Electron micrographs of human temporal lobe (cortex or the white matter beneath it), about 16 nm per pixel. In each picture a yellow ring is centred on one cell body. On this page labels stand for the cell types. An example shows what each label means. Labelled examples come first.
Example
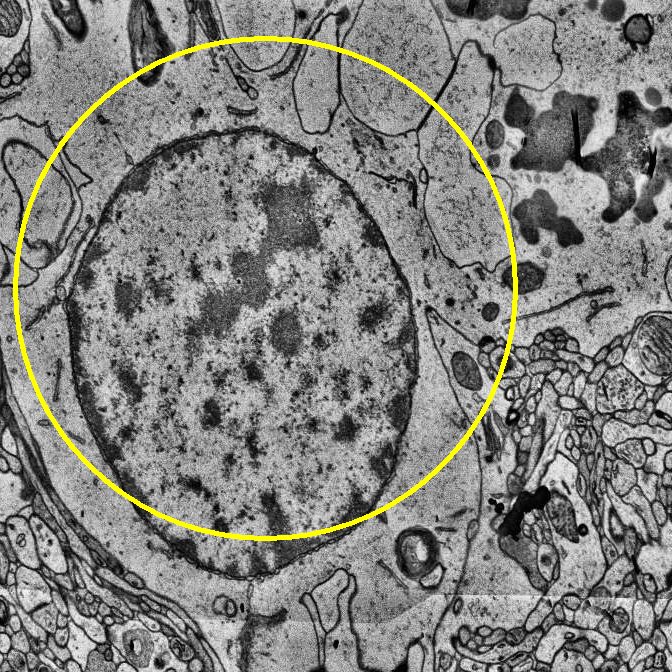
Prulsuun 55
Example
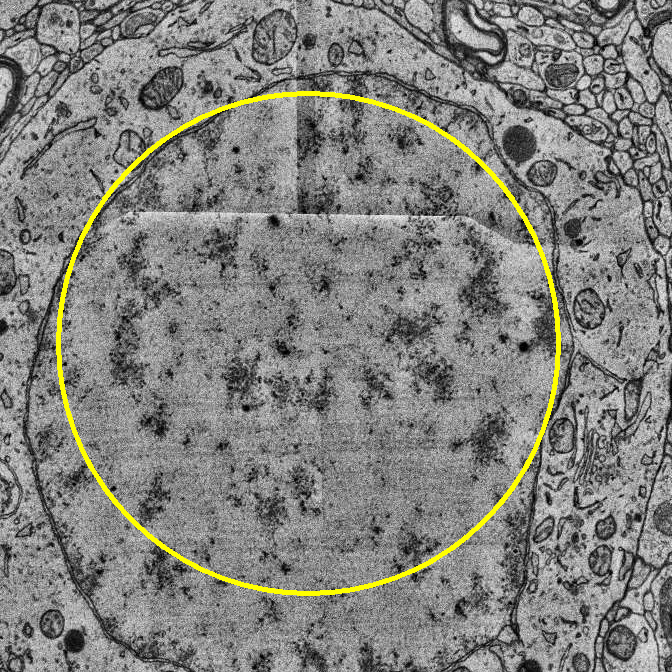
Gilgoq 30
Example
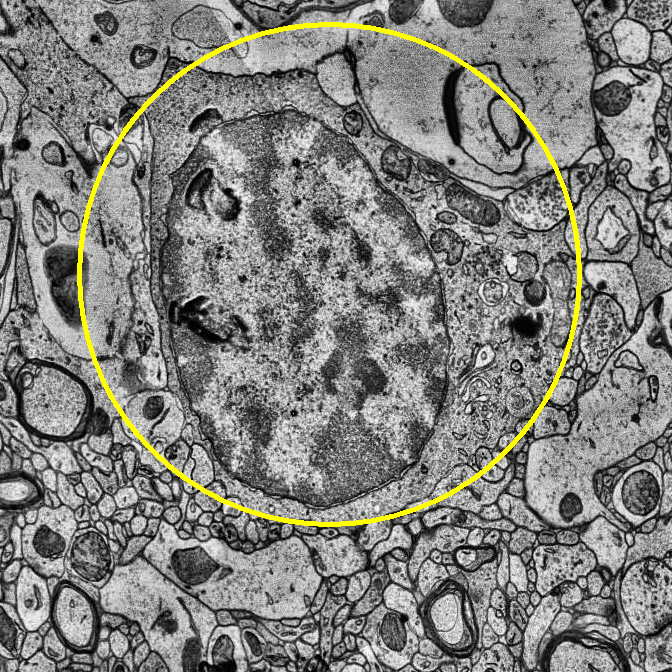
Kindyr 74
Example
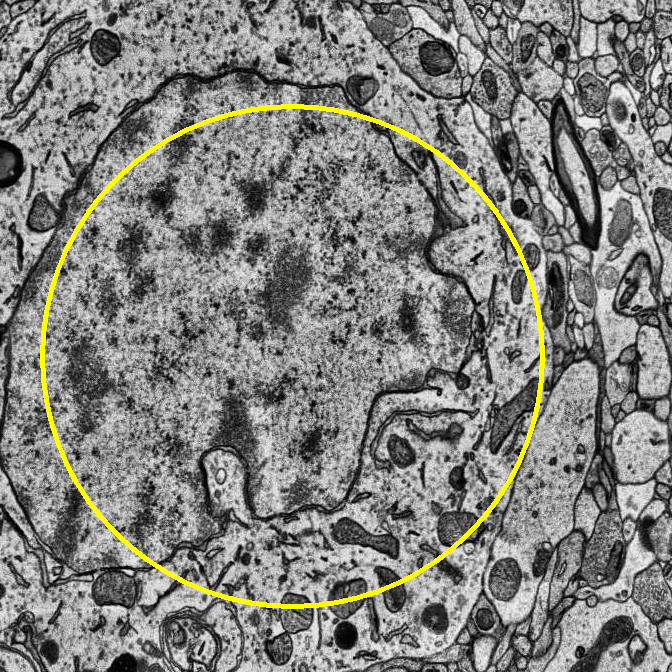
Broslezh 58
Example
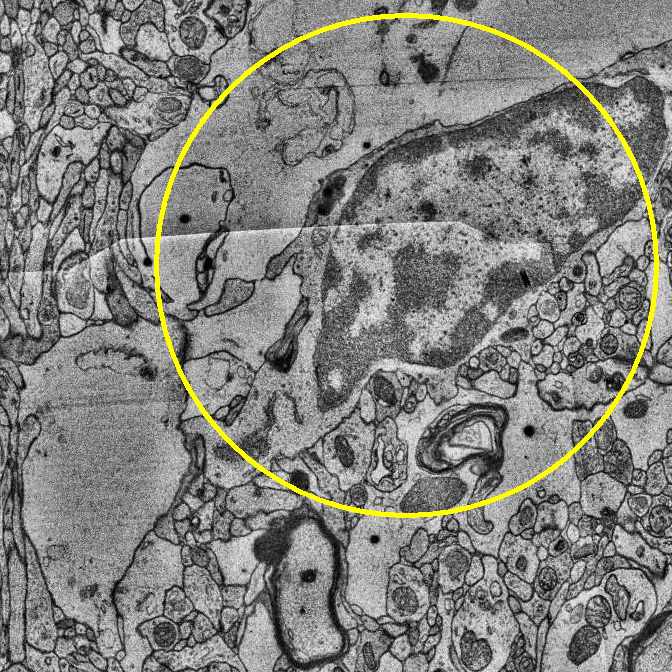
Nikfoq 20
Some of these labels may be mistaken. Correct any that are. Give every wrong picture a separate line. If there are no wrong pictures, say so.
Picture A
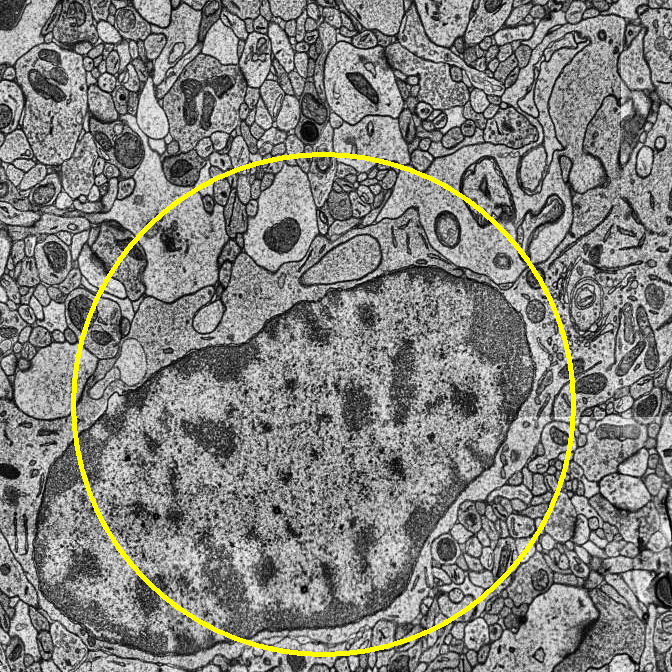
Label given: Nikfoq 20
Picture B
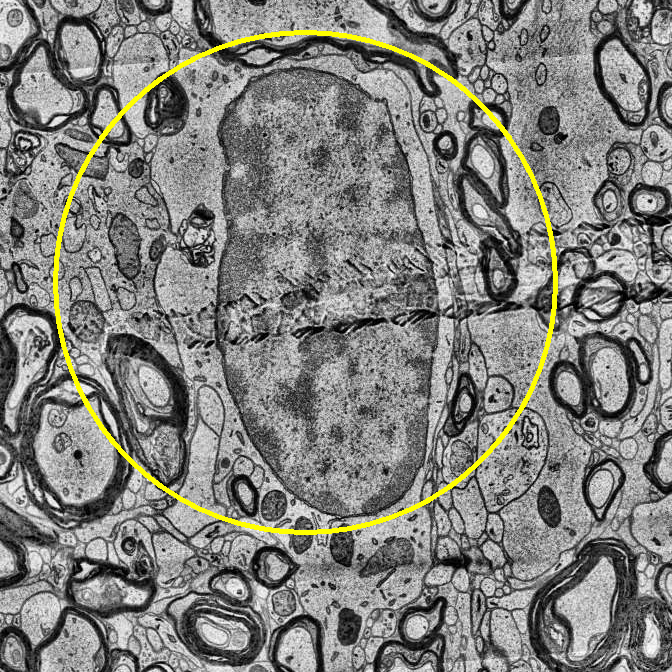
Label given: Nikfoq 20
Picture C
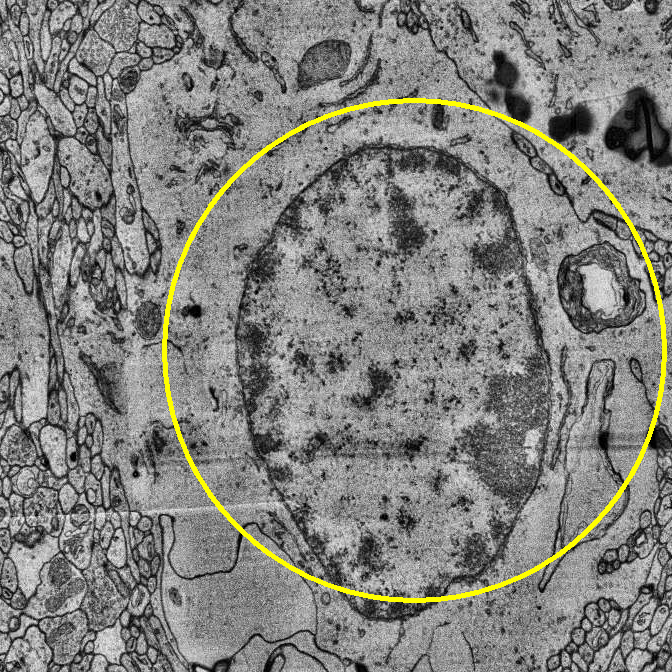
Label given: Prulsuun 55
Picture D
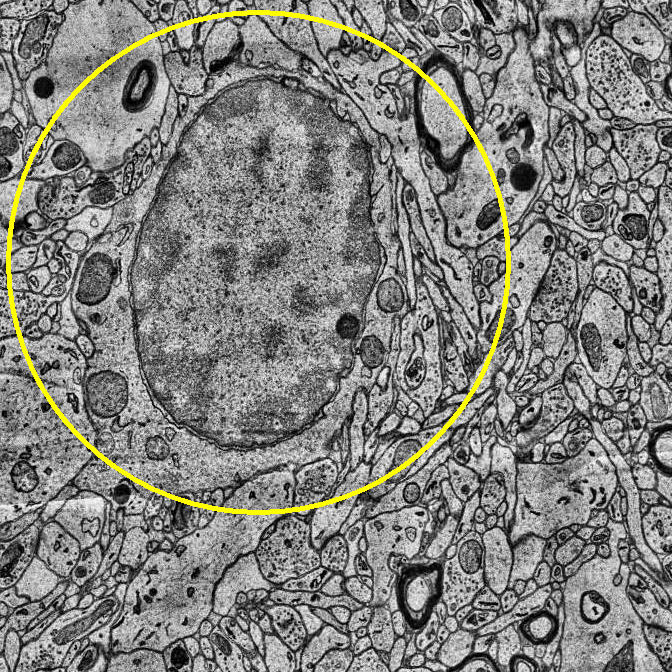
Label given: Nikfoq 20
Wrong: D (Nikfoq 20); correct: Kindyr 74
